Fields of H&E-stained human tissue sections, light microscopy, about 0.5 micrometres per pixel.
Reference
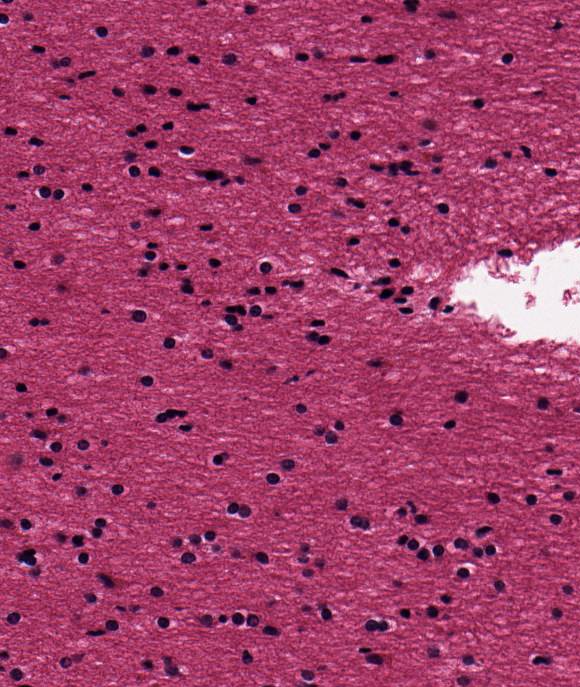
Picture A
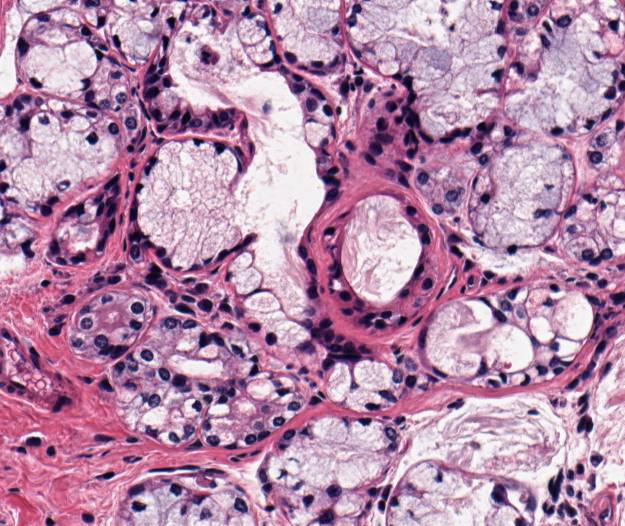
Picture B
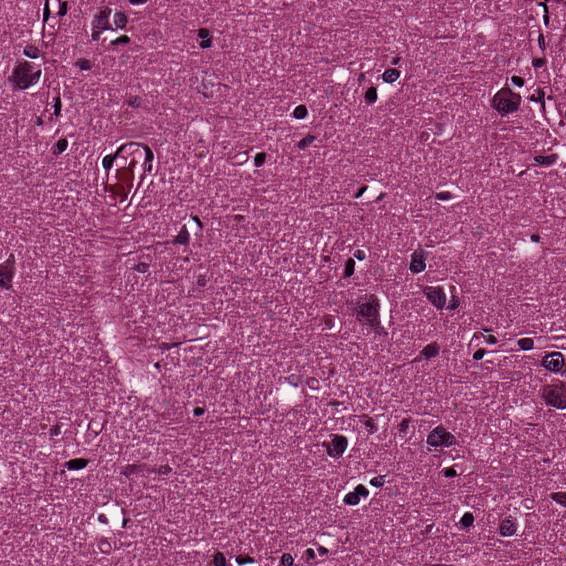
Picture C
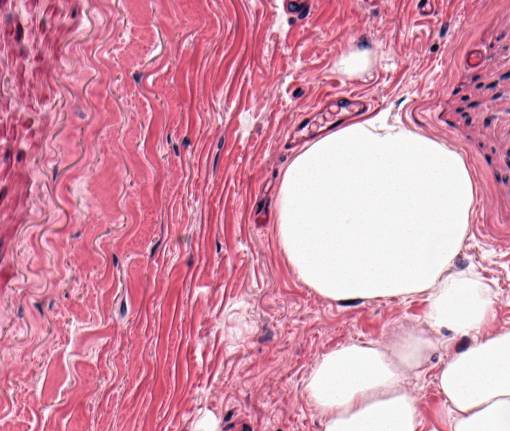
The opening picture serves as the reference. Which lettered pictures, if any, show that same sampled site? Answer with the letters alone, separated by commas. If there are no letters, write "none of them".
B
